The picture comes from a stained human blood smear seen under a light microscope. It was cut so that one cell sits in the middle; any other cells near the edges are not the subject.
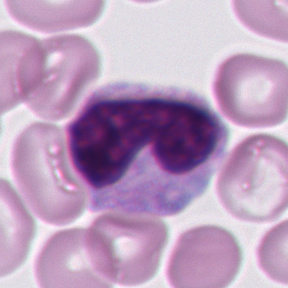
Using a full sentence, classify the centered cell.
The cell at the middle of the crop is recognized as a band neutrophil.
